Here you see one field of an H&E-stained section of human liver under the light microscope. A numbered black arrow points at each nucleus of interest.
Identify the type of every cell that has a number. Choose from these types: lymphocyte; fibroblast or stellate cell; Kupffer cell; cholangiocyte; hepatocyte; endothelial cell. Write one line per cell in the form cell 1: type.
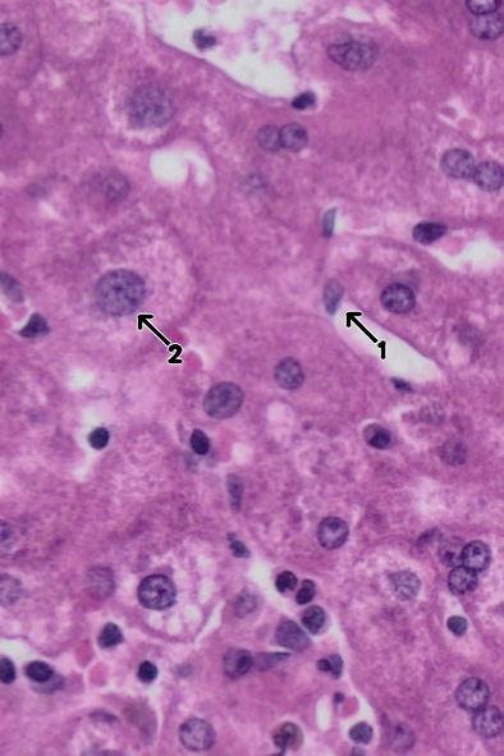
cell 1: endothelial cell
cell 2: hepatocyte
